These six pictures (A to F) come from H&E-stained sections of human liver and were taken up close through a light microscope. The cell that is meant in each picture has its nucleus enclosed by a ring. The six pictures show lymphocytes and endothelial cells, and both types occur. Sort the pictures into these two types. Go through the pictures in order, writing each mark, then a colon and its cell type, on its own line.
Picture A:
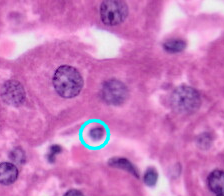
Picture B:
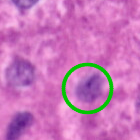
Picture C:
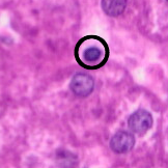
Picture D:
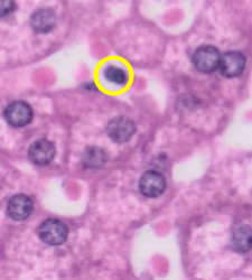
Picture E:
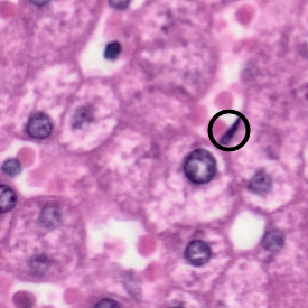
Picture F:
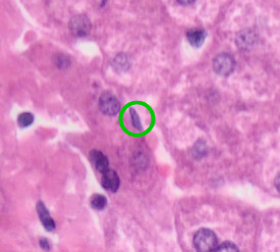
A: lymphocyte
B: endothelial cell
C: lymphocyte
D: lymphocyte
E: endothelial cell
F: endothelial cell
